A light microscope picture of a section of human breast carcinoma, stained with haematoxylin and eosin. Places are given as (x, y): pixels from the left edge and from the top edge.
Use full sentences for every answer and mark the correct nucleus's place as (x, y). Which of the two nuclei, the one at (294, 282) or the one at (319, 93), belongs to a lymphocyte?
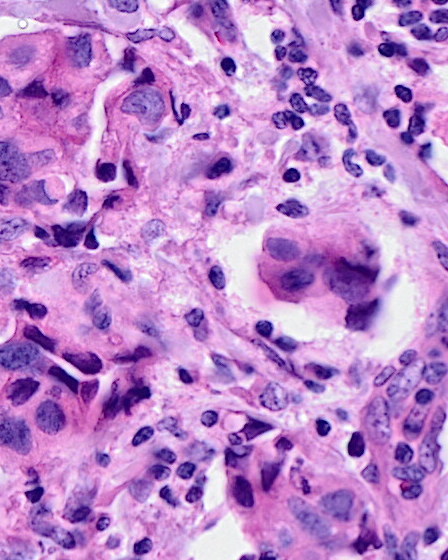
Of the two nuclei, the one sitting at (319, 93) belongs to a lymphocyte.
